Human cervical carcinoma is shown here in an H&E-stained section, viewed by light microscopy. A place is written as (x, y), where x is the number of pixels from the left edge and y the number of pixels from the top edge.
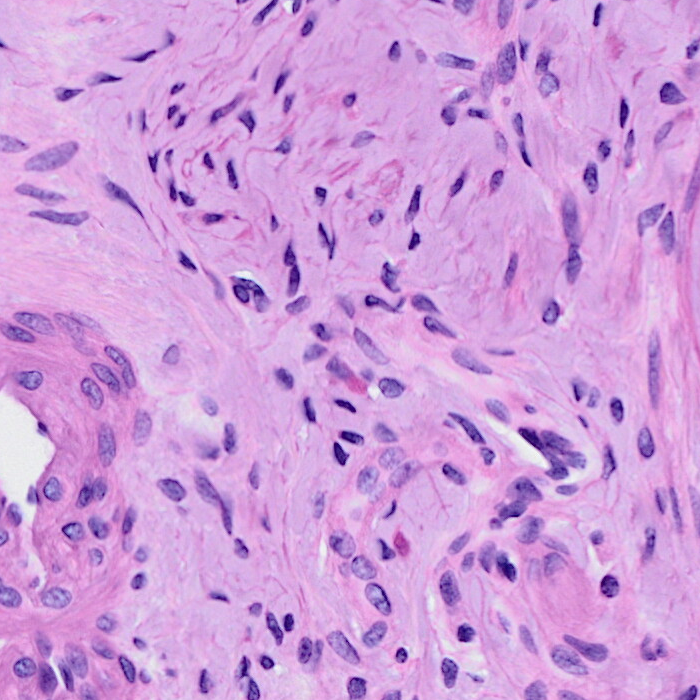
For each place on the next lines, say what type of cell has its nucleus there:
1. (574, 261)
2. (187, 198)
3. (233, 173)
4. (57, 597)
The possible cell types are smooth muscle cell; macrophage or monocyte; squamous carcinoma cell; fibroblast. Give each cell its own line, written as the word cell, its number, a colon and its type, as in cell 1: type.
cell 1: fibroblast
cell 2: fibroblast
cell 3: fibroblast
cell 4: smooth muscle cell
